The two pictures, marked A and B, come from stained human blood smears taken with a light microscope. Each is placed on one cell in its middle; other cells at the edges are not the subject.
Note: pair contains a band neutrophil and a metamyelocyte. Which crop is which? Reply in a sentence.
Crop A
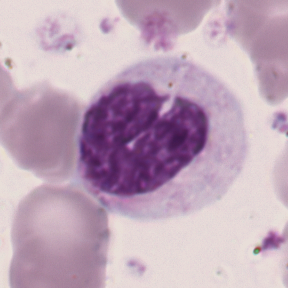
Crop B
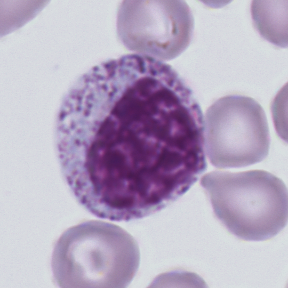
Placed in the middle of crop A is a band neutrophil, and in the middle of crop B, a metamyelocyte.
